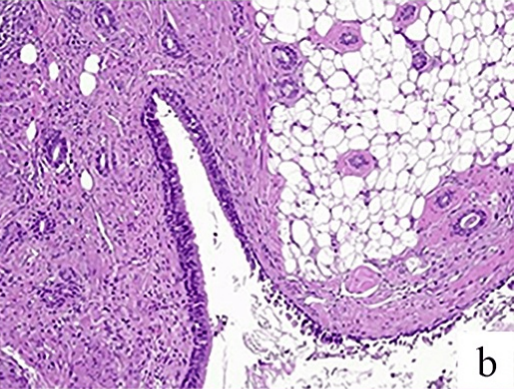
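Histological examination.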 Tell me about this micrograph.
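A narrow cleft runs down through the tissue, lined on each side by a tall columnar epithelium whose oval nuclei lie at different heights, giving a layered look in places. Beneath the lining lies fibrous stroma with spindle cells and small vessels, some surrounded by scattered round inflammatory-looking nuclei. To the right, a large field of empty, round, thin-walled vacuoles with small vessels in between forms fat. Together this is the fibrous wall of a cyst that contains adipose tissue and is lined by respiratory epithelium, focally pseudostratified.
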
